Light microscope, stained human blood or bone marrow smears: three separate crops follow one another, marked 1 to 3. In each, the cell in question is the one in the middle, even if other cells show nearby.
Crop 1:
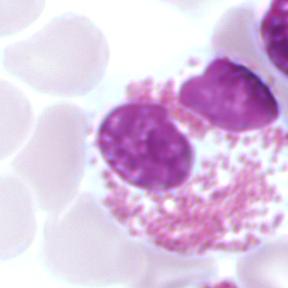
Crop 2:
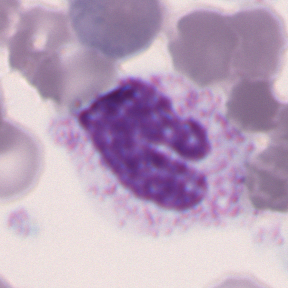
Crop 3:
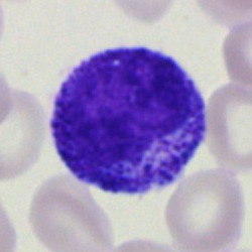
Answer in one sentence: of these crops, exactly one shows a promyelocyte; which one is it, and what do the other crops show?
Depicted in crop 3 is a promyelocyte, while crop 1 is an eosinophil and crop 2 is a segmented neutrophil.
